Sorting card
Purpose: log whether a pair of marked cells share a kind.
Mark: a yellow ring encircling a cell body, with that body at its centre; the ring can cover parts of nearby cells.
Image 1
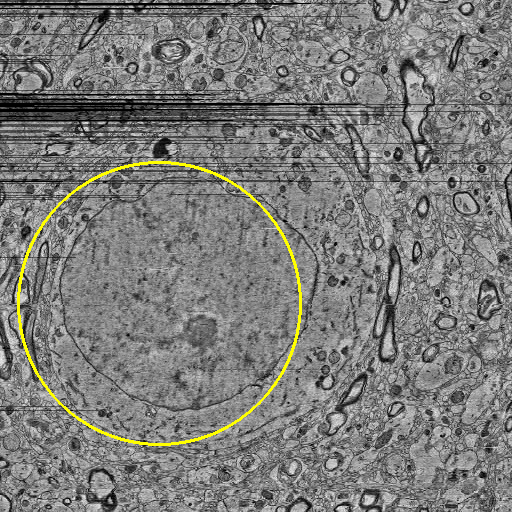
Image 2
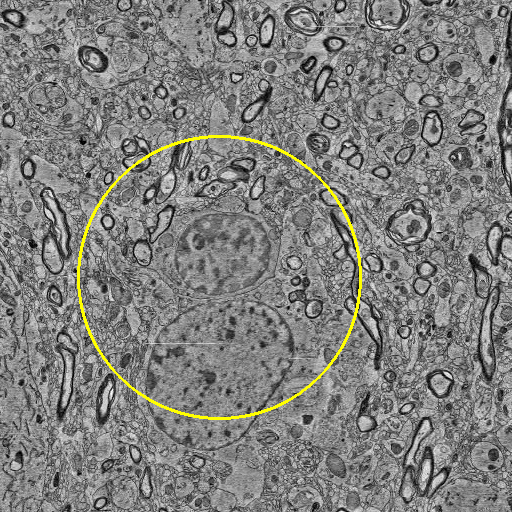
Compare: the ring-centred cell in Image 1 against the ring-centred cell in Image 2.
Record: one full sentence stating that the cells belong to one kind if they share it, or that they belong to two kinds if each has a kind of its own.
Across Images 1 and 2, the two ring-centred cells belong to two kinds.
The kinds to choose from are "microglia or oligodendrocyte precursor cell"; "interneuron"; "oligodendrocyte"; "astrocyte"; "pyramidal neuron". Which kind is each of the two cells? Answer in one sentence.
Of the two, the first cell is a pyramidal neuron and the second cell is an oligodendrocyte.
